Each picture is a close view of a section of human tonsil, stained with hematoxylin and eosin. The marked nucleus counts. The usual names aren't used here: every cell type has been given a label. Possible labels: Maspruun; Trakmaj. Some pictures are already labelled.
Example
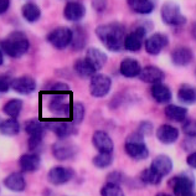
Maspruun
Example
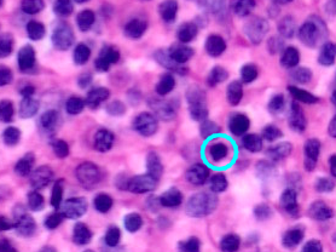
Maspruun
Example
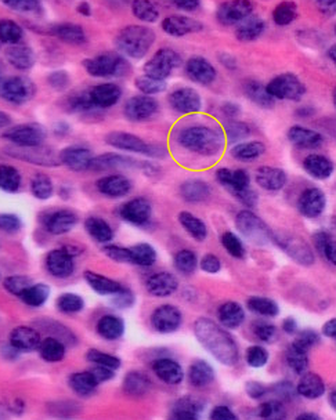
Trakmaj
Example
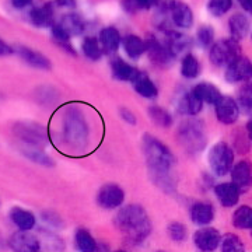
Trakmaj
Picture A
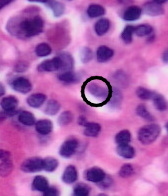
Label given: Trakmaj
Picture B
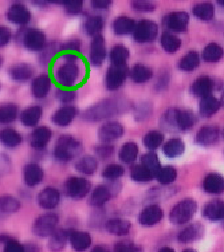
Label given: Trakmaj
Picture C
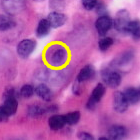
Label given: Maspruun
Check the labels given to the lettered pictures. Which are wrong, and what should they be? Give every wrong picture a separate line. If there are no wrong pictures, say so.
B is labelled Trakmaj; correct label: Maspruun
C is labelled Maspruun; correct label: Trakmaj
